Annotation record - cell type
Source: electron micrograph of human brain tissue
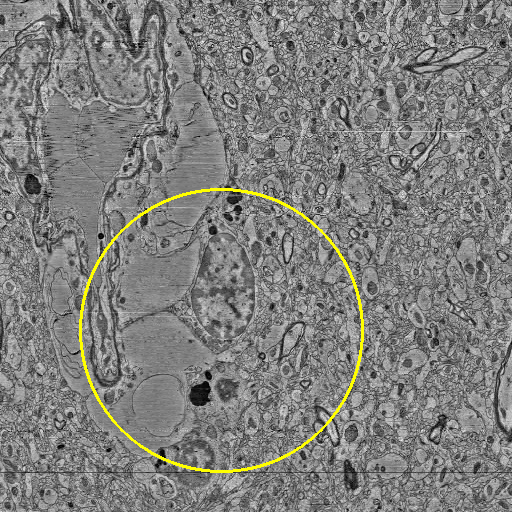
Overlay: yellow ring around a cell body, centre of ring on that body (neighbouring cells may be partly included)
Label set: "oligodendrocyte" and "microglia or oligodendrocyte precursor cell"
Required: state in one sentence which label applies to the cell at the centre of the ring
This cell should be labelled as a microglial cell or oligodendrocyte precursor cell.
